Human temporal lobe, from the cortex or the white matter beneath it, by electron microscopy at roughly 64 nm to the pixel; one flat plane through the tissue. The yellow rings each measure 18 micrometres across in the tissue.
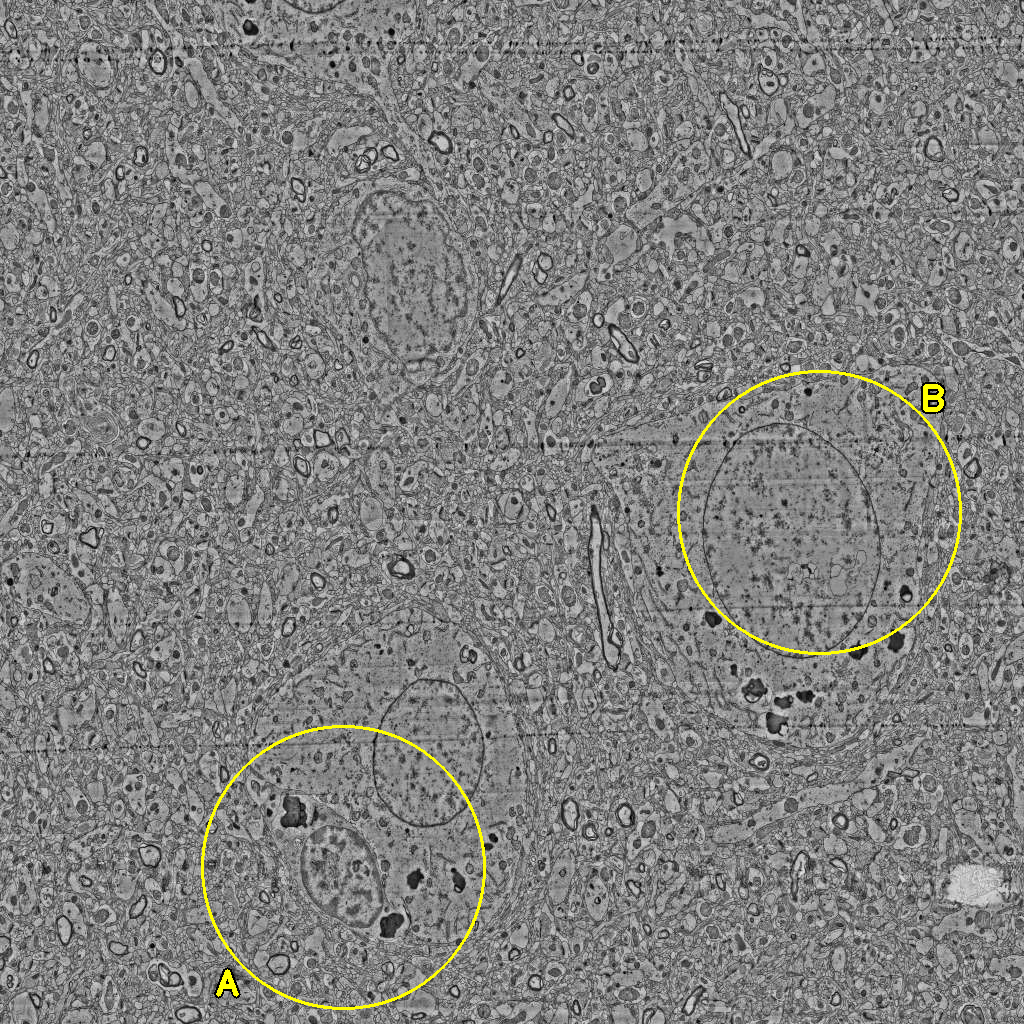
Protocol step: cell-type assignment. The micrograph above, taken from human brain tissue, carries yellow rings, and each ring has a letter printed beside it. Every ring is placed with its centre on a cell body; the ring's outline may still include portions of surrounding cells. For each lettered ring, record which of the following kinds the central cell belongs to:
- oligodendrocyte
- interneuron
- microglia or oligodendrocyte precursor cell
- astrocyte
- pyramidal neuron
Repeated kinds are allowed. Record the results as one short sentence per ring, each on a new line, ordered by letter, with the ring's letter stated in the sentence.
In ring A, the central cell is an oligodendrocyte.
In ring B, the central cell is a pyramidal neuron.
